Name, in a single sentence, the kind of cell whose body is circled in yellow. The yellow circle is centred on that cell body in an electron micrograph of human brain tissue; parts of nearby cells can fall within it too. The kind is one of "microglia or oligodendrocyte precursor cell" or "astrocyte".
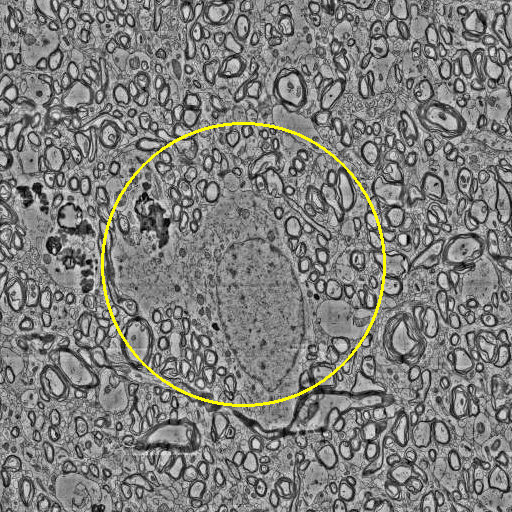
The circled cell body belongs to an astrocyte.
